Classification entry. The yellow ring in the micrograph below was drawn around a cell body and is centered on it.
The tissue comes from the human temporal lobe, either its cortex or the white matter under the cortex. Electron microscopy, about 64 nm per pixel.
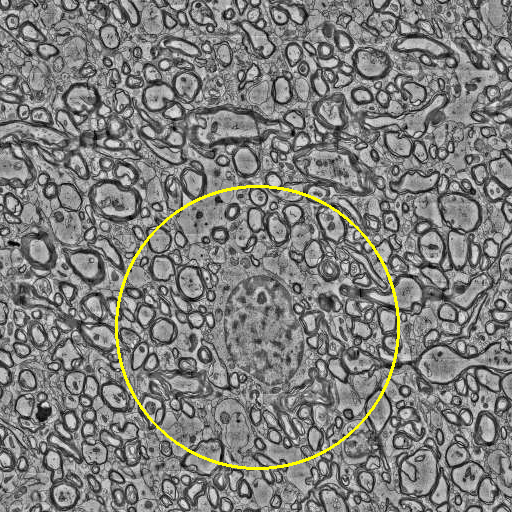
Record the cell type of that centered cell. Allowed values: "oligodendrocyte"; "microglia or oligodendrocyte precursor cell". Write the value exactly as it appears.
oligodendrocyte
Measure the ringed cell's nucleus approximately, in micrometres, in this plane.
The ringed cell's nucleus measures approximately 7 by 5 micrometres in this plane.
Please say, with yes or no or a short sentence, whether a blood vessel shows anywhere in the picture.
No.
